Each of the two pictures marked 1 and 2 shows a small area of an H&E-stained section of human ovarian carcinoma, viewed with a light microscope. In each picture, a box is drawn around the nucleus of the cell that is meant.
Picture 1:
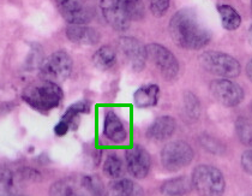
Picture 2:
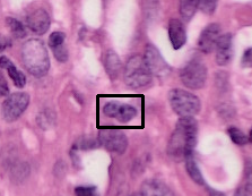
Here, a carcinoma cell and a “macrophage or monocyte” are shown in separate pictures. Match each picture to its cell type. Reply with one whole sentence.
Picture 1 is of a carcinoma cell, and picture 2 is of a “macrophage or monocyte”.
